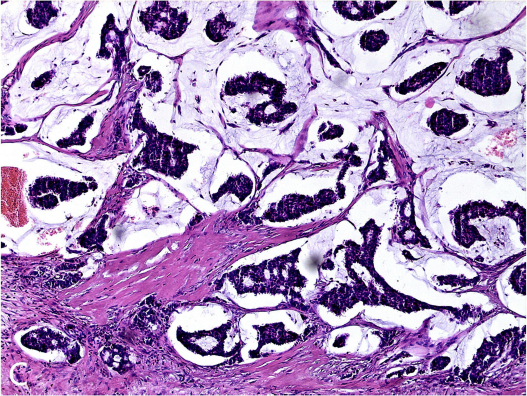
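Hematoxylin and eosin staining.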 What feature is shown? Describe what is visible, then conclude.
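Large spaces are filled with pale, faintly bluish-grey wispy material. Thin pink fibrous septa divide these pale pools.
Hence: mucin lakes.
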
